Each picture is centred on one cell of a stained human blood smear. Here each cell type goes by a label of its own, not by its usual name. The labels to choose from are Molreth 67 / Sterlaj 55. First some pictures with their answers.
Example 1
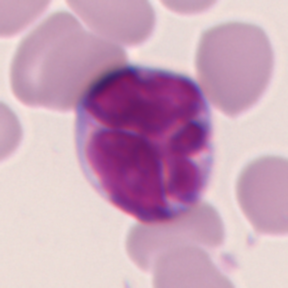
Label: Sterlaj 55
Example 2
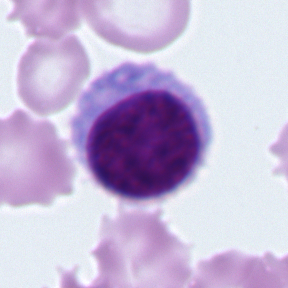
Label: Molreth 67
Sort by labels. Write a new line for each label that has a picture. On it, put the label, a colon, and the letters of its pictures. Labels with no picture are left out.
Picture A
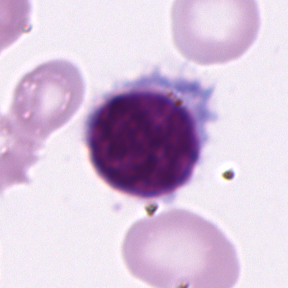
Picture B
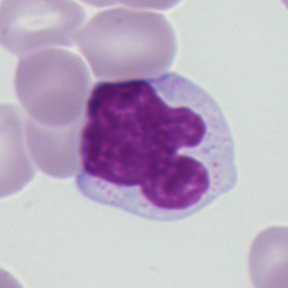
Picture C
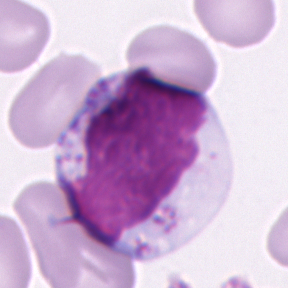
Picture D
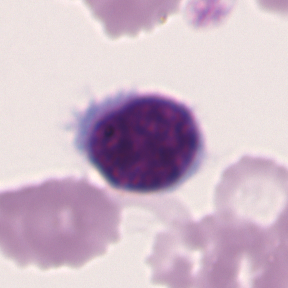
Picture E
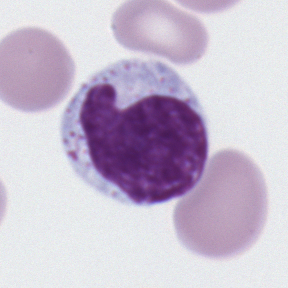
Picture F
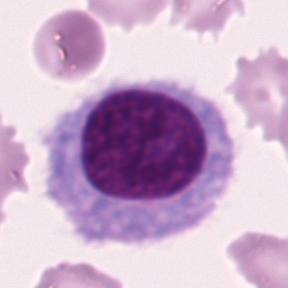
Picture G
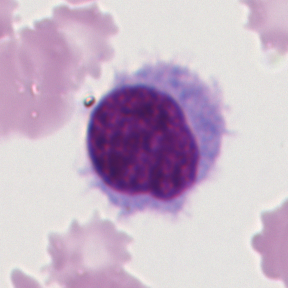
Molreth 67: A, D, F, G
Sterlaj 55: B, C, E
